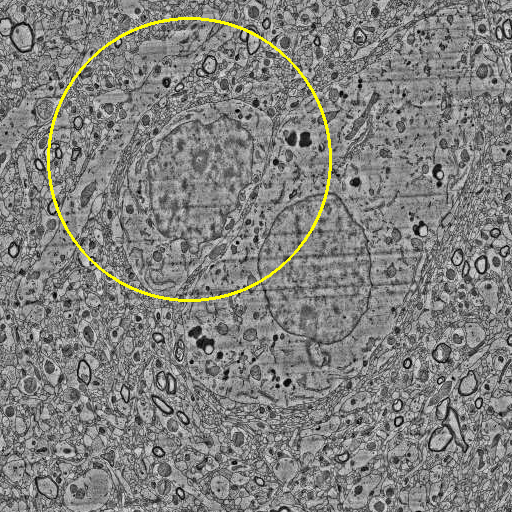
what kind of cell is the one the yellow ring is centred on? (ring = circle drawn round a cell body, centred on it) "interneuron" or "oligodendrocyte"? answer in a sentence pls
The ring is drawn around an interneuron.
